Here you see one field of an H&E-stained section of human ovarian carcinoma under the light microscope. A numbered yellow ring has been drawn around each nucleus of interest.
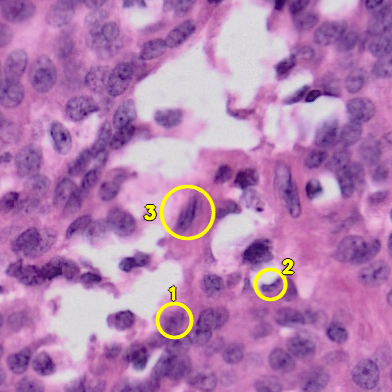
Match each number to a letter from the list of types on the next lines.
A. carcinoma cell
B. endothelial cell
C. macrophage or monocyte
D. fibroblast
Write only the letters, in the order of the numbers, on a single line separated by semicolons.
A; C; B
